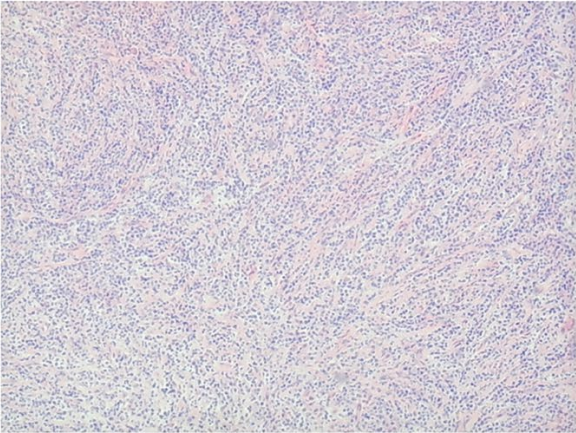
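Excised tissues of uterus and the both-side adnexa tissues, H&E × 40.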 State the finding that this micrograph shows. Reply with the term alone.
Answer: Diffusion and infiltration of the tumor cells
